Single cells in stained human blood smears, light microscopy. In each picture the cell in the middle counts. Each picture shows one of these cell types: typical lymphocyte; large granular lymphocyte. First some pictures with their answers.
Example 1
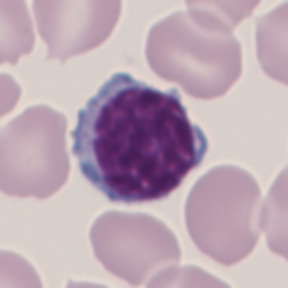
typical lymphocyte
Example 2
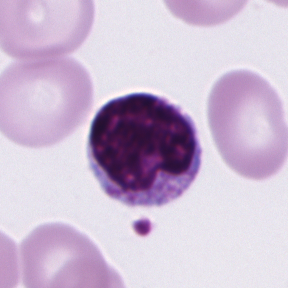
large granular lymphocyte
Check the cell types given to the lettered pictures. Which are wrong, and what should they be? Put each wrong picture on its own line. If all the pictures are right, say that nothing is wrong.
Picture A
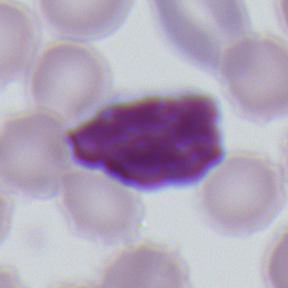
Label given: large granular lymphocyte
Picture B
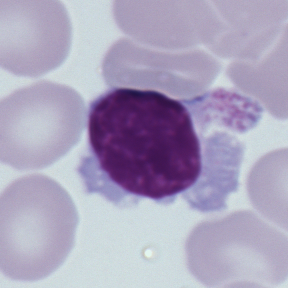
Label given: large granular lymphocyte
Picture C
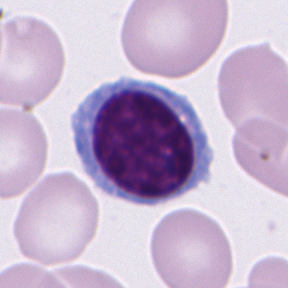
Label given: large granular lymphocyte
A: change large granular lymphocyte to typical lymphocyte
C: change large granular lymphocyte to typical lymphocyte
